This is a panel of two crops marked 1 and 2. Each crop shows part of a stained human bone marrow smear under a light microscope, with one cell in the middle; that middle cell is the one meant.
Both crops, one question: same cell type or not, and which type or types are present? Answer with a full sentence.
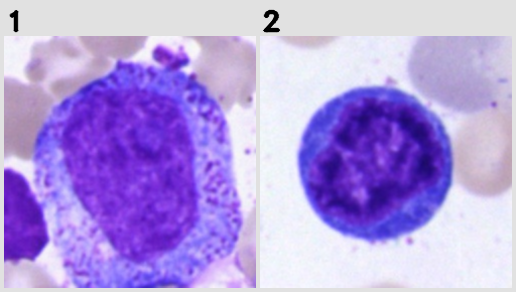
No, crop 1 is where a promyelocyte is, and crop 2 is where a proerythroblast is.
